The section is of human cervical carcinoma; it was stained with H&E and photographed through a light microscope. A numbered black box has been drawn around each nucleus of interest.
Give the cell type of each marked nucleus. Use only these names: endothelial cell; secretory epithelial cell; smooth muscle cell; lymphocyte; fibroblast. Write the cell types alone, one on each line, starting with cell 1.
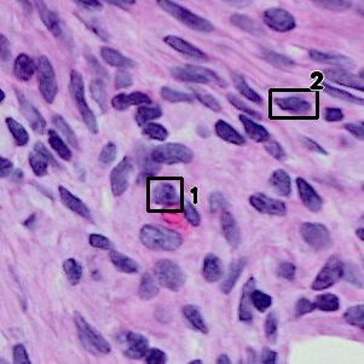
endothelial cell
fibroblast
